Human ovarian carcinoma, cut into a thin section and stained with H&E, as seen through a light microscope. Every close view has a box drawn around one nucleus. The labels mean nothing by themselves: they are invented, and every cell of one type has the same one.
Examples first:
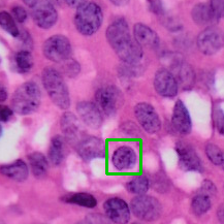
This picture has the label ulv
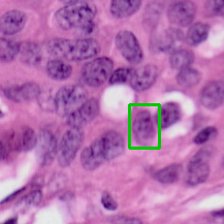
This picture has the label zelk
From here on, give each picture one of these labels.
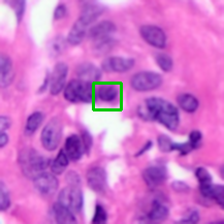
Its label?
zelk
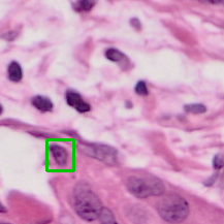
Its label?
ulv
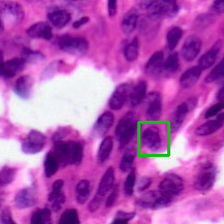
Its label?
zelk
